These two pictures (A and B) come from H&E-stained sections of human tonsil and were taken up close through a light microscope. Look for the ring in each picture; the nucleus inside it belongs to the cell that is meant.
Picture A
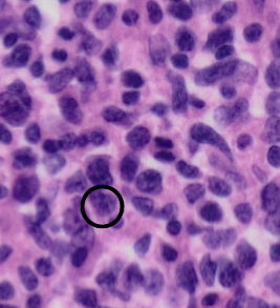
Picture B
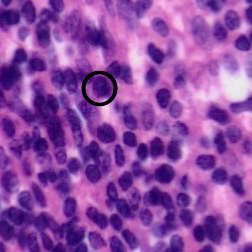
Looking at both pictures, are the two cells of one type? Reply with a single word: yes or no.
yes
